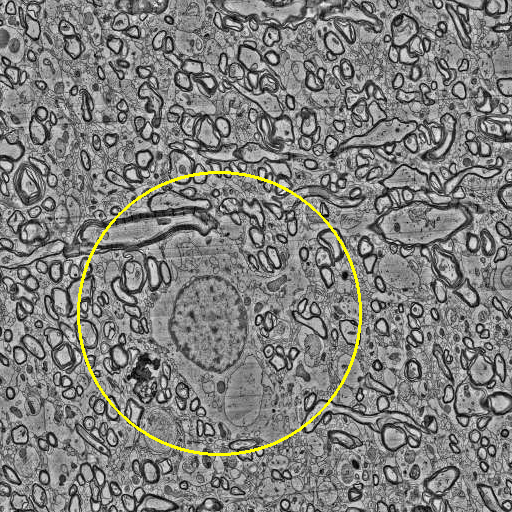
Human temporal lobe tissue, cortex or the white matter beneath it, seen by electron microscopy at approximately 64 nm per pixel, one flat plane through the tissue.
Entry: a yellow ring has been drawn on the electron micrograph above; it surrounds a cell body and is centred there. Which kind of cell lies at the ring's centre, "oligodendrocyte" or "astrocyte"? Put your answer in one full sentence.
The cell sitting at the ring's centre is an astrocyte in the micrograph above.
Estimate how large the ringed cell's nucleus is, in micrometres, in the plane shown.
In this plane, about 6 micrometres in length and 5 in width.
